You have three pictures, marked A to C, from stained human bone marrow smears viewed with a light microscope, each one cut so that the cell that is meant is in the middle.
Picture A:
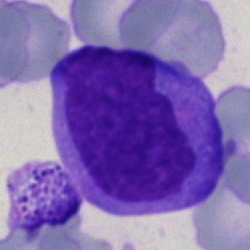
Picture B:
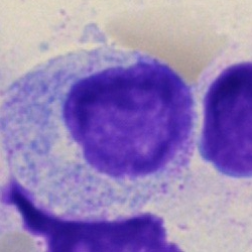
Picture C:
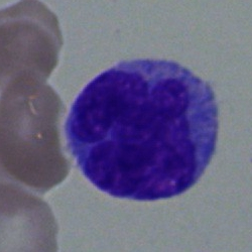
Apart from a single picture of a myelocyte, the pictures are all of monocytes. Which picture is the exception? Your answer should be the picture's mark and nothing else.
B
